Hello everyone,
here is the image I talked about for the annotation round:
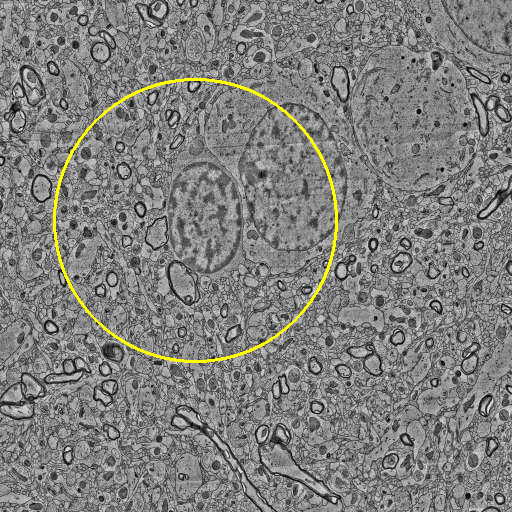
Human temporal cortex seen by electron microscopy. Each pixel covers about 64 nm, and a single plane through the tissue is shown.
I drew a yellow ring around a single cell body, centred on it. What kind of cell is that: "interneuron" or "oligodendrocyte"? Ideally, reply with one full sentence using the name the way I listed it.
The cell your yellow ring is centred on is an oligodendrocyte, going by your list.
